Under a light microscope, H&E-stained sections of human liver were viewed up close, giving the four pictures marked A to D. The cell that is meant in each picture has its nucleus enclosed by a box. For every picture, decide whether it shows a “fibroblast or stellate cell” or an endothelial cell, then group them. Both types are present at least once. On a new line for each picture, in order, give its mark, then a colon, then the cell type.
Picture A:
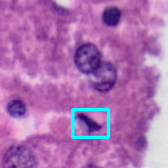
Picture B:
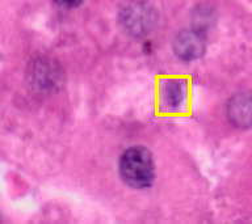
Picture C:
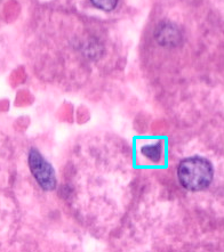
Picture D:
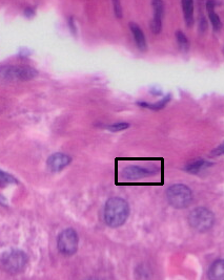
A: endothelial cell
B: endothelial cell
C: endothelial cell
D: fibroblast or stellate cell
